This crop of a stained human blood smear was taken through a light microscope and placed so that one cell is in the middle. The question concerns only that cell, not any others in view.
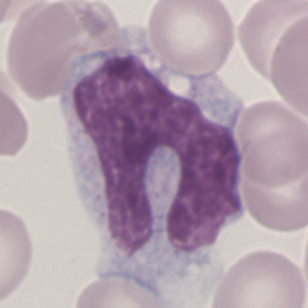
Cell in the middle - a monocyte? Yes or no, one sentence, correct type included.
Yes, the cell that is in the middle is a monocyte.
